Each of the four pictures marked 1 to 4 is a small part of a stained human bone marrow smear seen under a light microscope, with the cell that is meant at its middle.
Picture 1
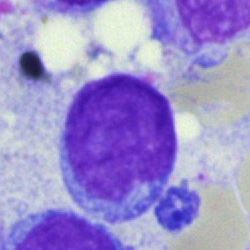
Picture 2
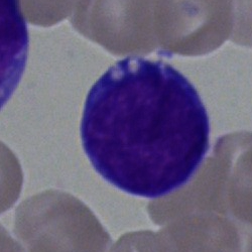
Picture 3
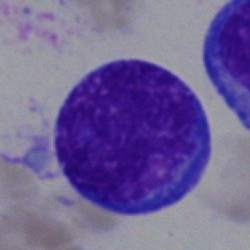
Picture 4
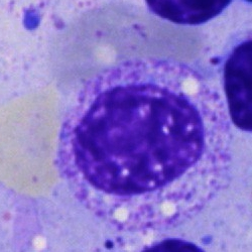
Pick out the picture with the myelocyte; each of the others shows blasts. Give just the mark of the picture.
4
